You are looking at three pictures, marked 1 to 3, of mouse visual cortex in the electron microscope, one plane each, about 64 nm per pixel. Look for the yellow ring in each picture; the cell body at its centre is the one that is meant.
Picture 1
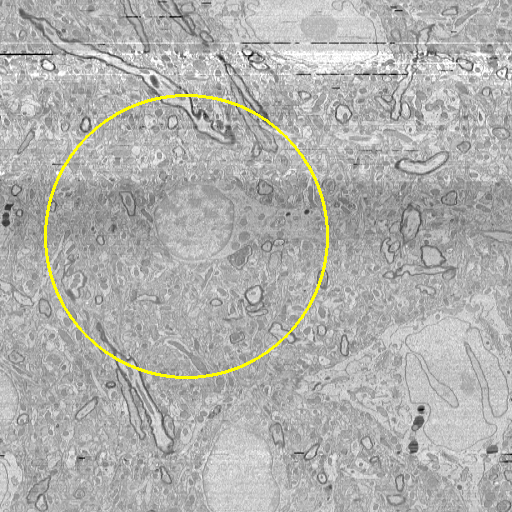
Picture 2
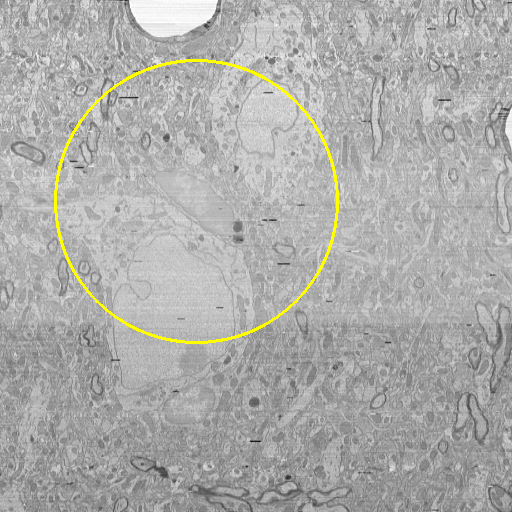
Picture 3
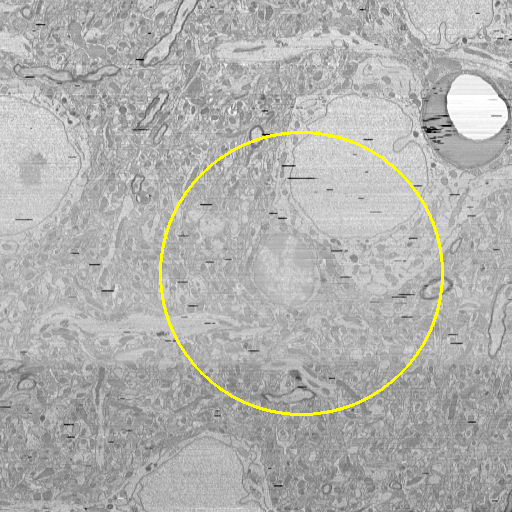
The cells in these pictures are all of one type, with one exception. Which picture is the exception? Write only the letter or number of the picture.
2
